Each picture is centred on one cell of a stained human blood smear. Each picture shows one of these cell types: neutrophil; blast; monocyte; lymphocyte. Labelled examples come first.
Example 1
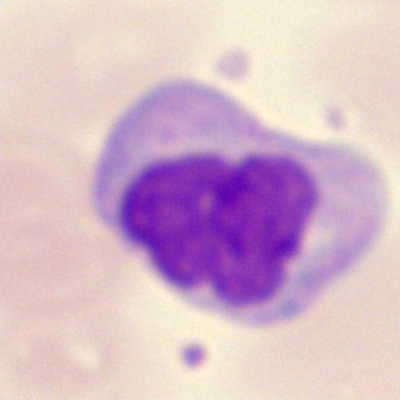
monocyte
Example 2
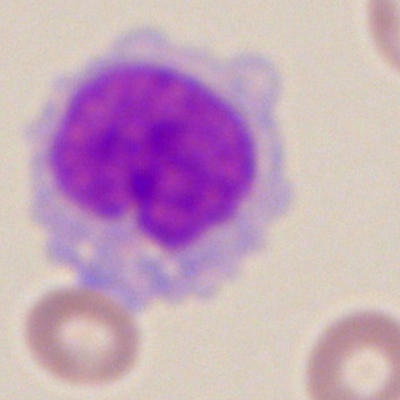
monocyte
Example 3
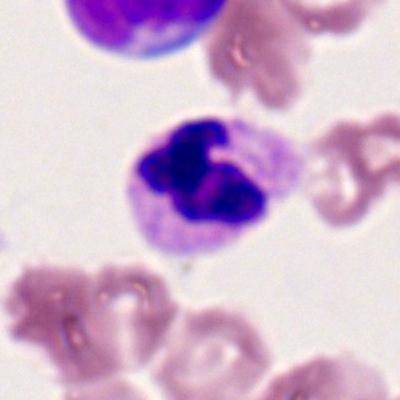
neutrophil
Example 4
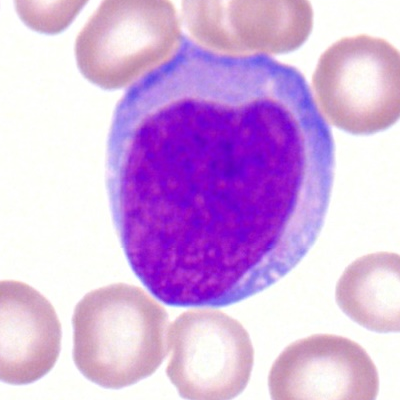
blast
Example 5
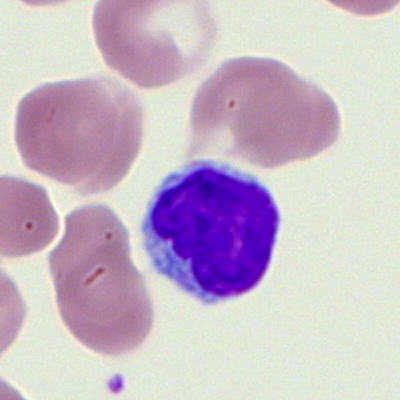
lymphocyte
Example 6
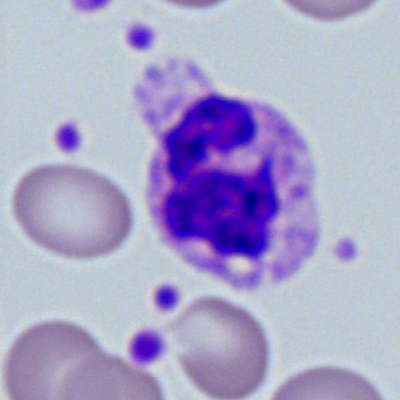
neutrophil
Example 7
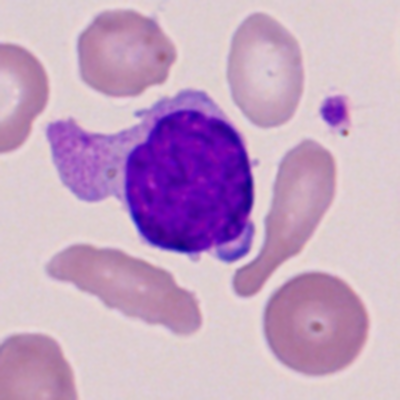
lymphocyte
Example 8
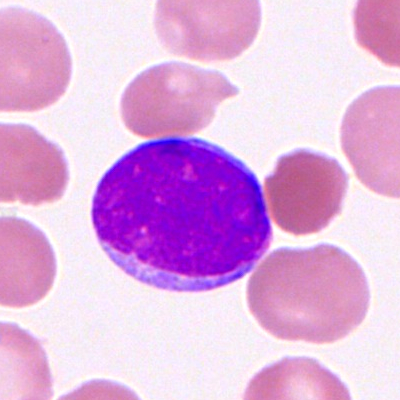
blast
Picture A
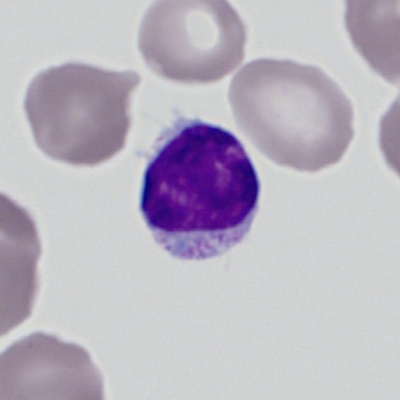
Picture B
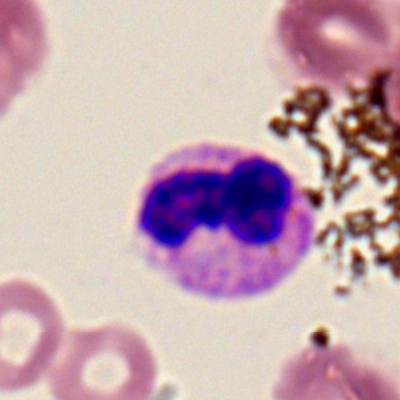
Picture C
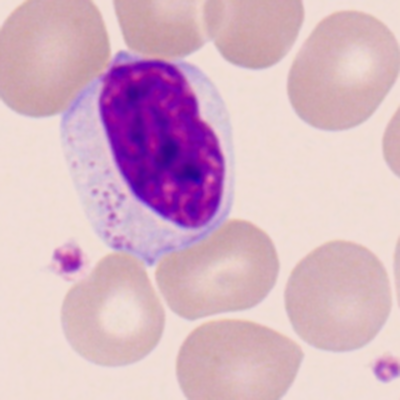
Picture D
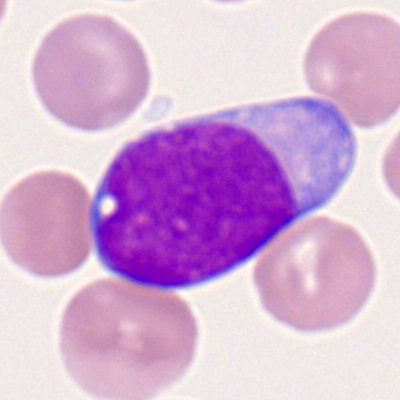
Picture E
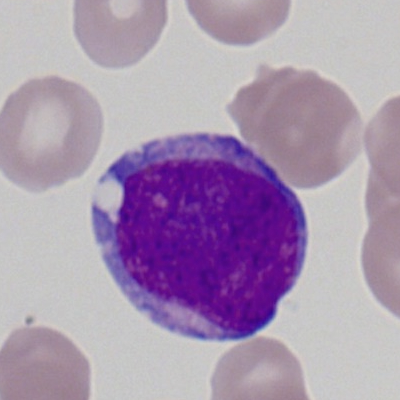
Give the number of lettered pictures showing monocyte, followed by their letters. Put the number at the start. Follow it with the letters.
0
